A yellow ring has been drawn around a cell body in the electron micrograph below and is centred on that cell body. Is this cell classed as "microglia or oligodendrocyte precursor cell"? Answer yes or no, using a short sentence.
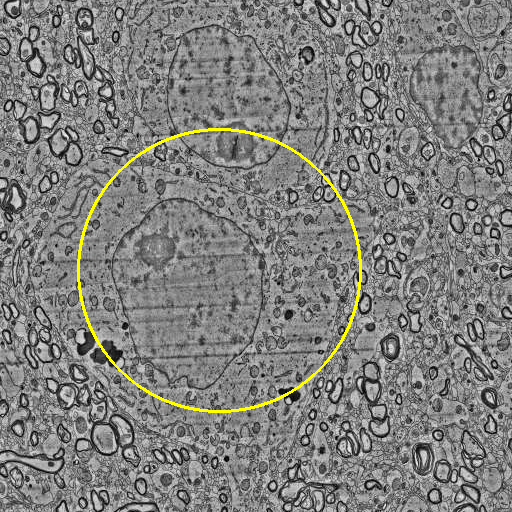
No, it is classed as another kind.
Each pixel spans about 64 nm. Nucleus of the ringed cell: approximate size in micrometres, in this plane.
The ringed cell's nucleus measures approximately 12 by 10 micrometres in this plane.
